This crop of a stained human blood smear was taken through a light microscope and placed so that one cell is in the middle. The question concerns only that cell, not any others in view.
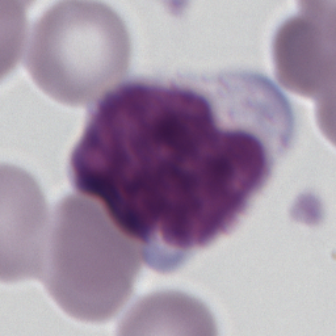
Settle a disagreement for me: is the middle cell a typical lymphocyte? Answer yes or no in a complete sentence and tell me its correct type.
No, not a typical lymphocyte but a large granular lymphocyte is the cell in the centre.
